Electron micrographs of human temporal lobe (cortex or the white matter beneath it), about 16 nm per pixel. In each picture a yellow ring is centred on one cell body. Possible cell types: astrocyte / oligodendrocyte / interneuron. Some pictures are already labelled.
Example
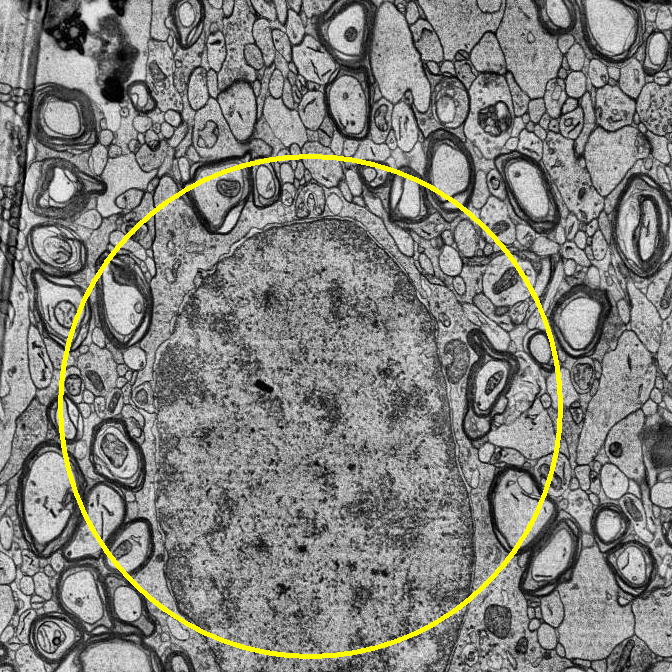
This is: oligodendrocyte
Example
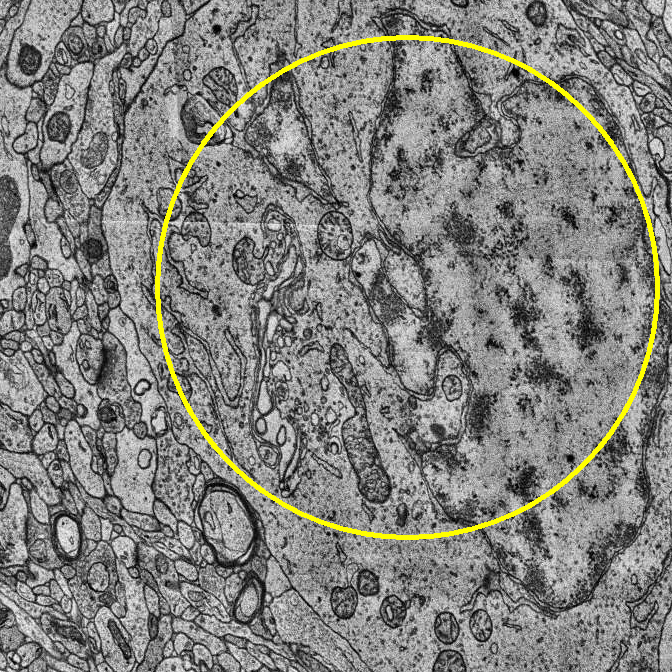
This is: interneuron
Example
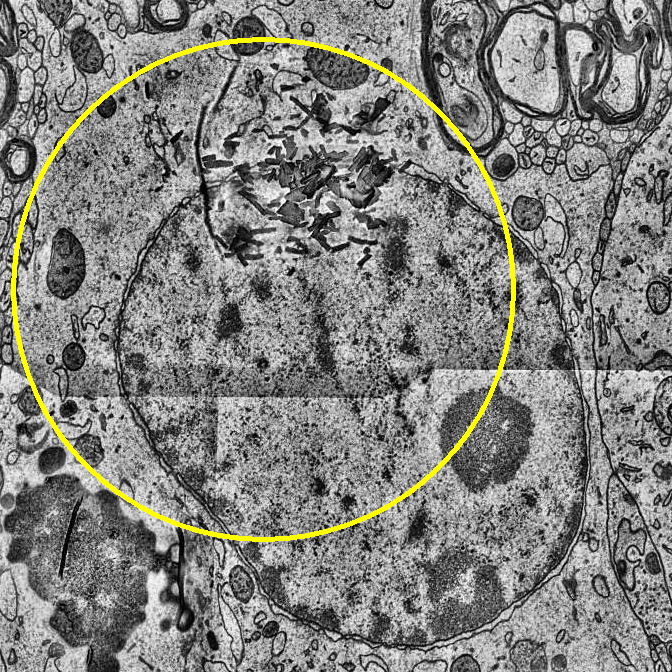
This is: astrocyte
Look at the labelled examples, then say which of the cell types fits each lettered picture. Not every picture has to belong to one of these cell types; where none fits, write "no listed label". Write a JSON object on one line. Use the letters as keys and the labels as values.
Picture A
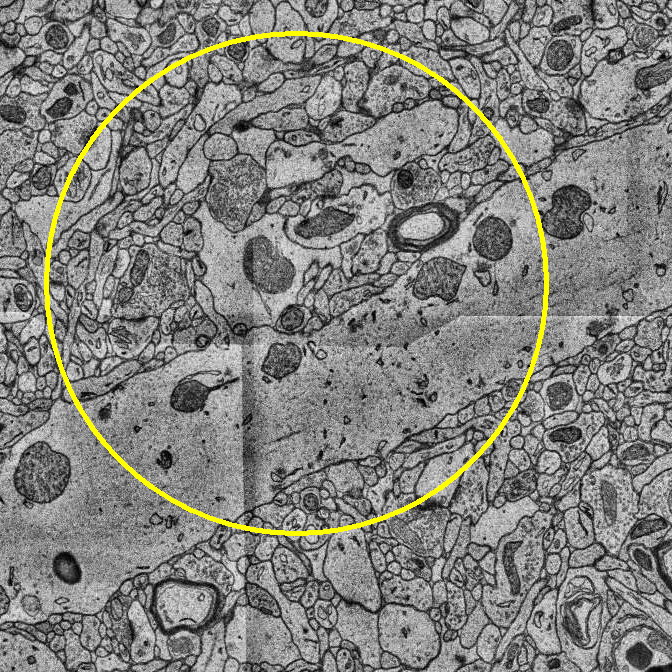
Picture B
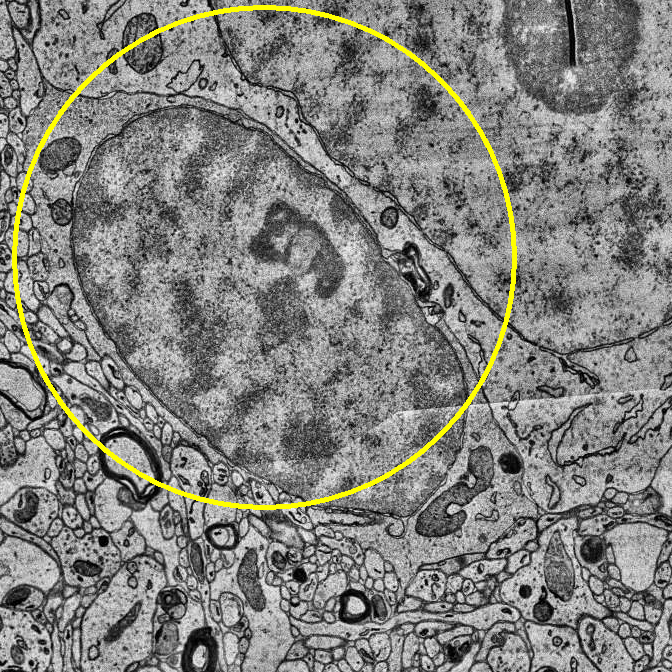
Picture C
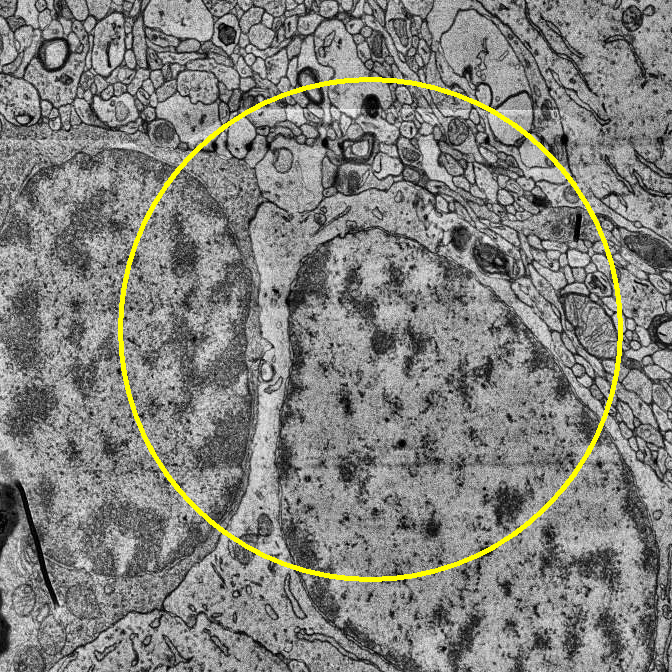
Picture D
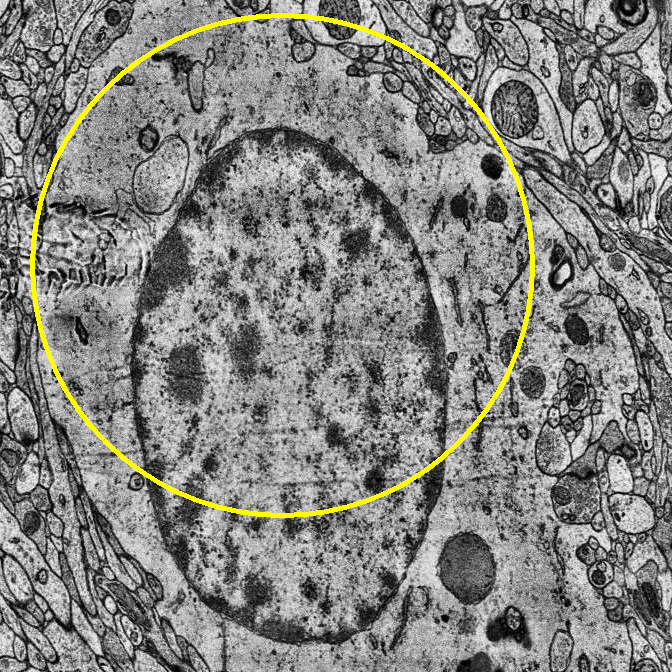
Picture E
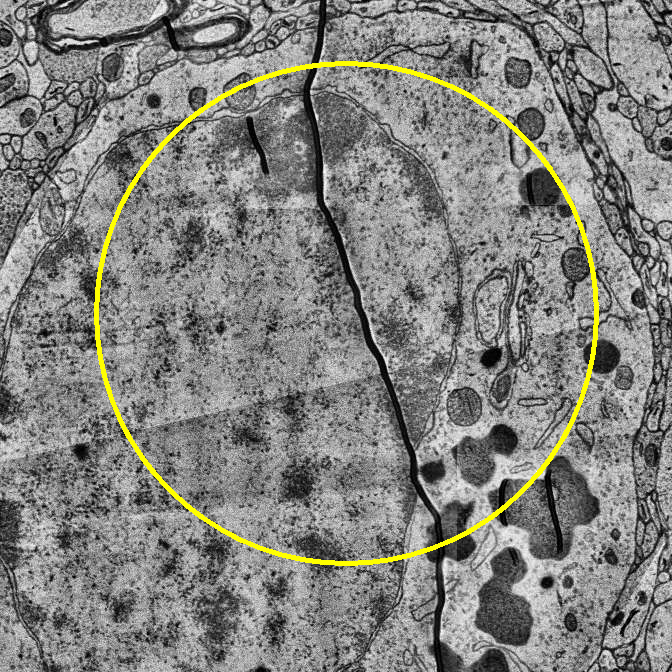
{"A": "no listed label", "B": "oligodendrocyte", "C": "no listed label", "D": "astrocyte", "E": "interneuron"}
